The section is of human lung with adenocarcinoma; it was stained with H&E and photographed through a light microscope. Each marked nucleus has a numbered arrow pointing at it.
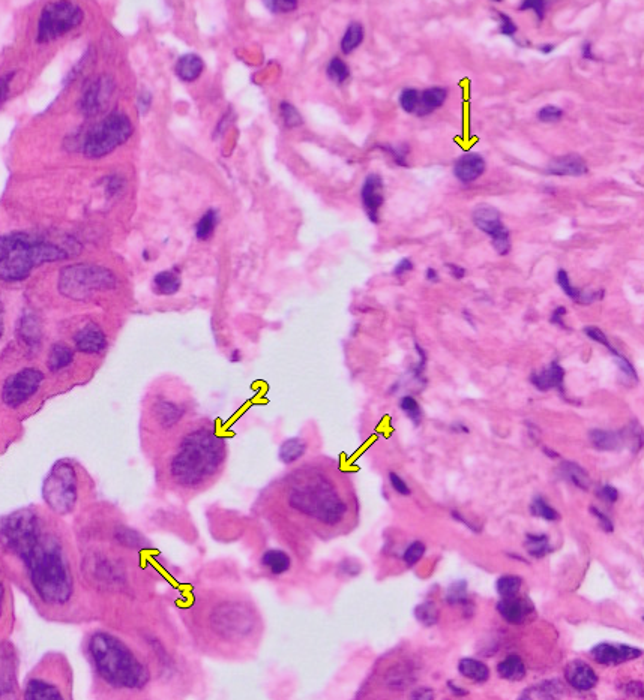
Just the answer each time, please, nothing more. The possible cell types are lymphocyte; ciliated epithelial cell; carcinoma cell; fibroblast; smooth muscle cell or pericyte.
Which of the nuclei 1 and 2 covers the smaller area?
1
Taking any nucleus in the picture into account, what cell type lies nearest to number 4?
lymphocyte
